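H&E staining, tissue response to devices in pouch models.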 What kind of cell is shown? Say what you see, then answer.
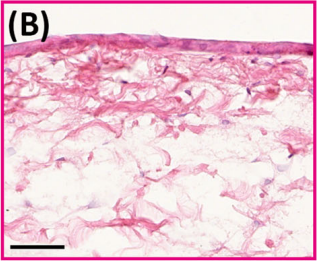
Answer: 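A thin continuous layer lines the top edge of the tissue. Flattened, elongated purple nuclei lie along this surface layer. Wavy pink fibres lie beneath the surface layer. On this evidence: fibrous-like cells.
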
